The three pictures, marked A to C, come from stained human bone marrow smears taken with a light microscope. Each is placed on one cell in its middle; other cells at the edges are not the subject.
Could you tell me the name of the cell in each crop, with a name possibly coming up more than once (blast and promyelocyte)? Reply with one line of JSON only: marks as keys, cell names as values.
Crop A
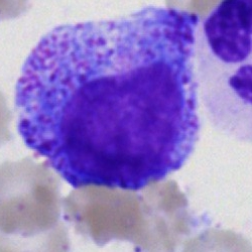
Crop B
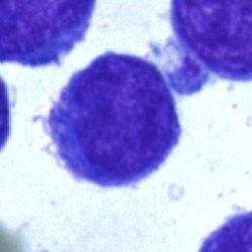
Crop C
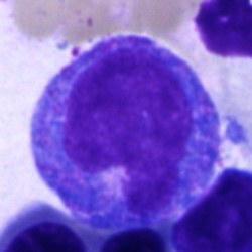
{"A": "promyelocyte", "B": "blast", "C": "promyelocyte"}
